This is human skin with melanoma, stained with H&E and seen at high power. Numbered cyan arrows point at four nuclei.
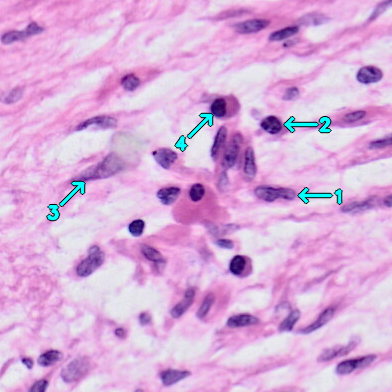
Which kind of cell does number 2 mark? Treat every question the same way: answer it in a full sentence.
In the marked set, the cell given number 2 is a plasma cell.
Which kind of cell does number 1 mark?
What the number 1 marks in this field is a macrophage or monocyte.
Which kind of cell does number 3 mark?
The cell identified by the number 3 is a fibroblast or myofibroblast.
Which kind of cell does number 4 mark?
Cell 4, as marked in the section, is a plasma cell.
